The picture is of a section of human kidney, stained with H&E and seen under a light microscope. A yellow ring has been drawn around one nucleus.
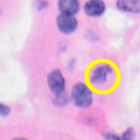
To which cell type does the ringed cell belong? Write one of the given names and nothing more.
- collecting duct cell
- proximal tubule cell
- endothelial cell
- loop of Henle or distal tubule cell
collecting duct cell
